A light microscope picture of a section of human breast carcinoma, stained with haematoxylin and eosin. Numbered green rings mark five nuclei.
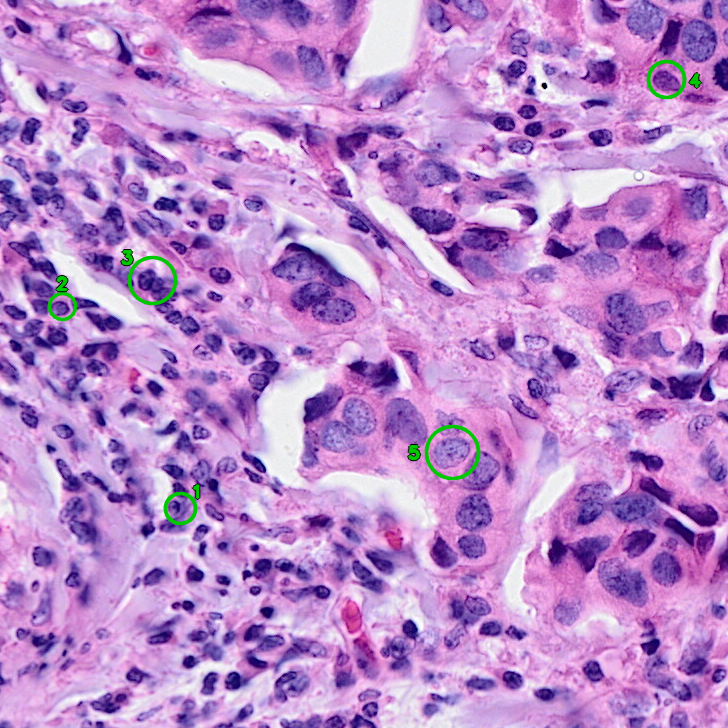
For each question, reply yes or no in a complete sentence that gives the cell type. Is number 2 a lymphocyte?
Yes, the marked cell with number 2 is a lymphocyte.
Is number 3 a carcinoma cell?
No, that is wrong: cell 3 is a lymphocyte, and not a carcinoma cell.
